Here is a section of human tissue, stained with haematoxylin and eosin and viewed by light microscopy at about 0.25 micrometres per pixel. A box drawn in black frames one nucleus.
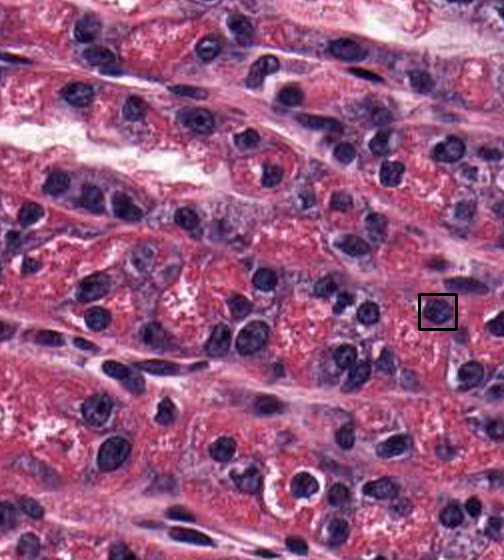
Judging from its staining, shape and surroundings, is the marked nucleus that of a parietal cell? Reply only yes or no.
yes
